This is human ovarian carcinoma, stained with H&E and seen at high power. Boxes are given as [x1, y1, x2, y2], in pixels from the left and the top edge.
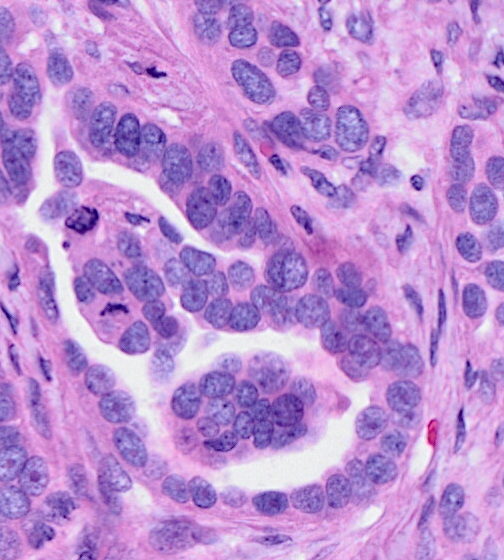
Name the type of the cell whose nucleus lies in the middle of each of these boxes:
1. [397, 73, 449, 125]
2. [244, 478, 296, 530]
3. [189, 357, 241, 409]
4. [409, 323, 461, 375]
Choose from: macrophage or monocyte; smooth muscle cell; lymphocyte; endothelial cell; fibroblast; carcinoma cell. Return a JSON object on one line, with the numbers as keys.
{"1": "fibroblast", "2": "carcinoma cell", "3": "carcinoma cell", "4": "fibroblast"}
